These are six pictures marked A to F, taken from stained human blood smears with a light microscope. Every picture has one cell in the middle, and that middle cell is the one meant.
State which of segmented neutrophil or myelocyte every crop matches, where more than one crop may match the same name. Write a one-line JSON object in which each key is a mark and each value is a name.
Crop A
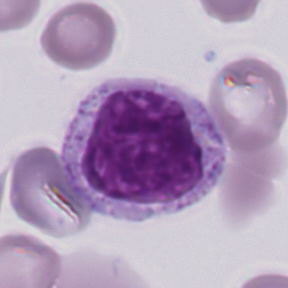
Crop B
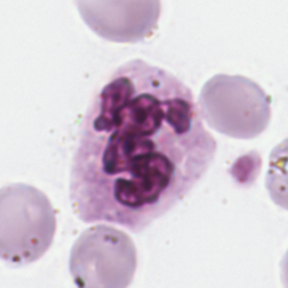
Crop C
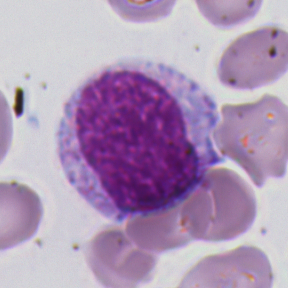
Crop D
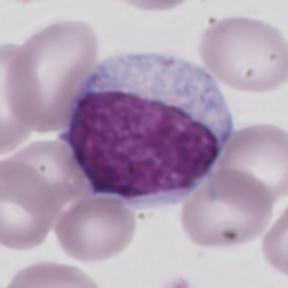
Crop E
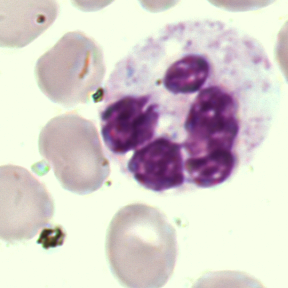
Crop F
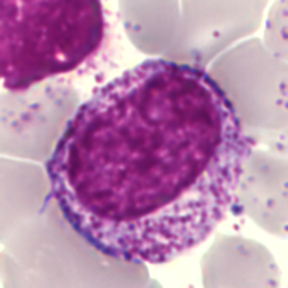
{"A": "myelocyte", "B": "segmented neutrophil", "C": "myelocyte", "D": "myelocyte", "E": "segmented neutrophil", "F": "myelocyte"}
